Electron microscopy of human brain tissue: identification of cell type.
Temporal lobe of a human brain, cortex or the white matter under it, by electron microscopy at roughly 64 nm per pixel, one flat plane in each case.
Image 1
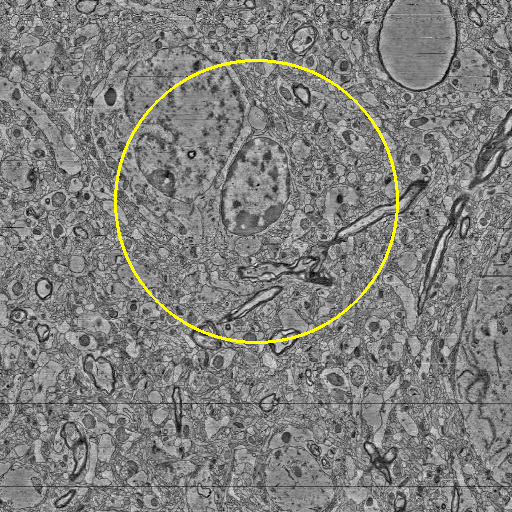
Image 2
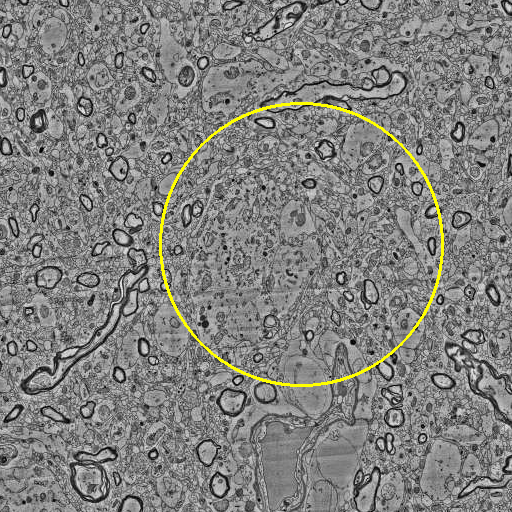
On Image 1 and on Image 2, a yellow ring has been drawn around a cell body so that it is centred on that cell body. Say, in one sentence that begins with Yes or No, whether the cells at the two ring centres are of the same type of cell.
Yes, both cells are the same type of cell.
